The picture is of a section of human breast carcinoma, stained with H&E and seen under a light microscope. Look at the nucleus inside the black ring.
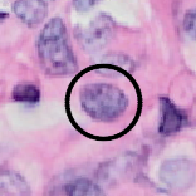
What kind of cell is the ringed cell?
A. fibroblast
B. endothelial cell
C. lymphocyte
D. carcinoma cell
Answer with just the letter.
D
